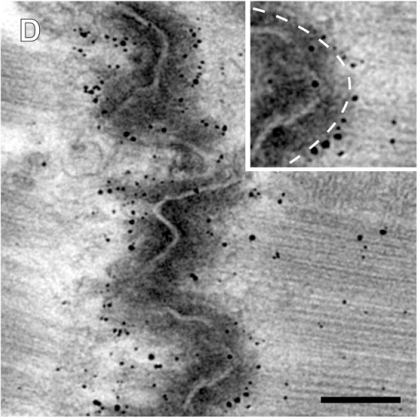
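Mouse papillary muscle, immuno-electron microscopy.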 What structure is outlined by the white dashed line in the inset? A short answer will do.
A: The cytoplasmic edge of the dark plaque material.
